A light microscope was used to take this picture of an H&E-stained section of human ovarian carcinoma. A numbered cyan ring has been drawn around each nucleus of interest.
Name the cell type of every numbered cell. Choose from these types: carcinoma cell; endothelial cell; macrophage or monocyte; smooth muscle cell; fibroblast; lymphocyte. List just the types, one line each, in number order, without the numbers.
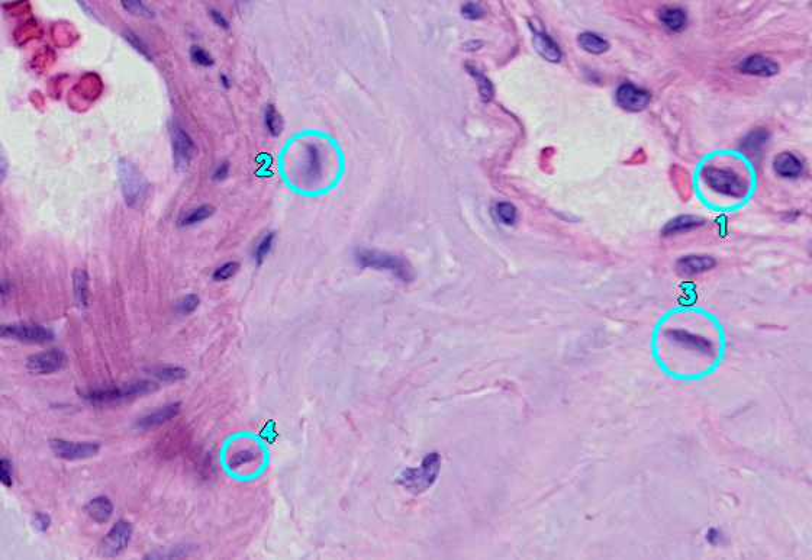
endothelial cell
fibroblast
fibroblast
smooth muscle cell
